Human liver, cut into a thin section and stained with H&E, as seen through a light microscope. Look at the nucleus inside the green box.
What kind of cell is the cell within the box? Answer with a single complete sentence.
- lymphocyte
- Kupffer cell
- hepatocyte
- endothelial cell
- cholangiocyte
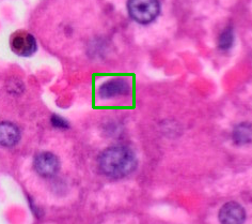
What the cell within the box represents is a Kupffer cell.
